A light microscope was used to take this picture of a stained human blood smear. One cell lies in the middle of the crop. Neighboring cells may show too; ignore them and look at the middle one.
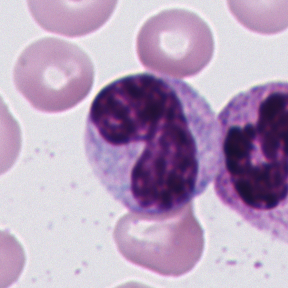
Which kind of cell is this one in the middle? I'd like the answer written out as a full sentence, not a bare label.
To answer, the cell in the center of the crop is a band neutrophil.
